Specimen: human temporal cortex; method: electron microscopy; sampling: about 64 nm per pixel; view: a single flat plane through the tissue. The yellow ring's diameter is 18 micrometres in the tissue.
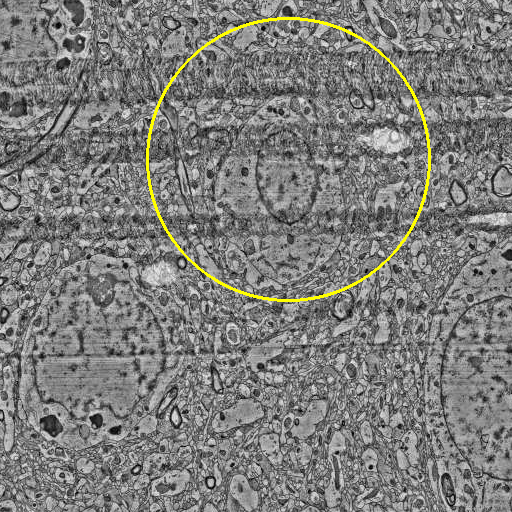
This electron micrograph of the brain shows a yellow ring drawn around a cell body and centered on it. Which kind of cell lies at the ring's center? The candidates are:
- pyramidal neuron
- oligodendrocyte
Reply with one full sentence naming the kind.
The cell lying at the ring's center in this micrograph is a pyramidal neuron.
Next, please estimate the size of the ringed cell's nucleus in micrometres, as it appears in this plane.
The nucleus measures about 6 by 4 micrometres, so it is clearly longer than it is wide in this plane.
